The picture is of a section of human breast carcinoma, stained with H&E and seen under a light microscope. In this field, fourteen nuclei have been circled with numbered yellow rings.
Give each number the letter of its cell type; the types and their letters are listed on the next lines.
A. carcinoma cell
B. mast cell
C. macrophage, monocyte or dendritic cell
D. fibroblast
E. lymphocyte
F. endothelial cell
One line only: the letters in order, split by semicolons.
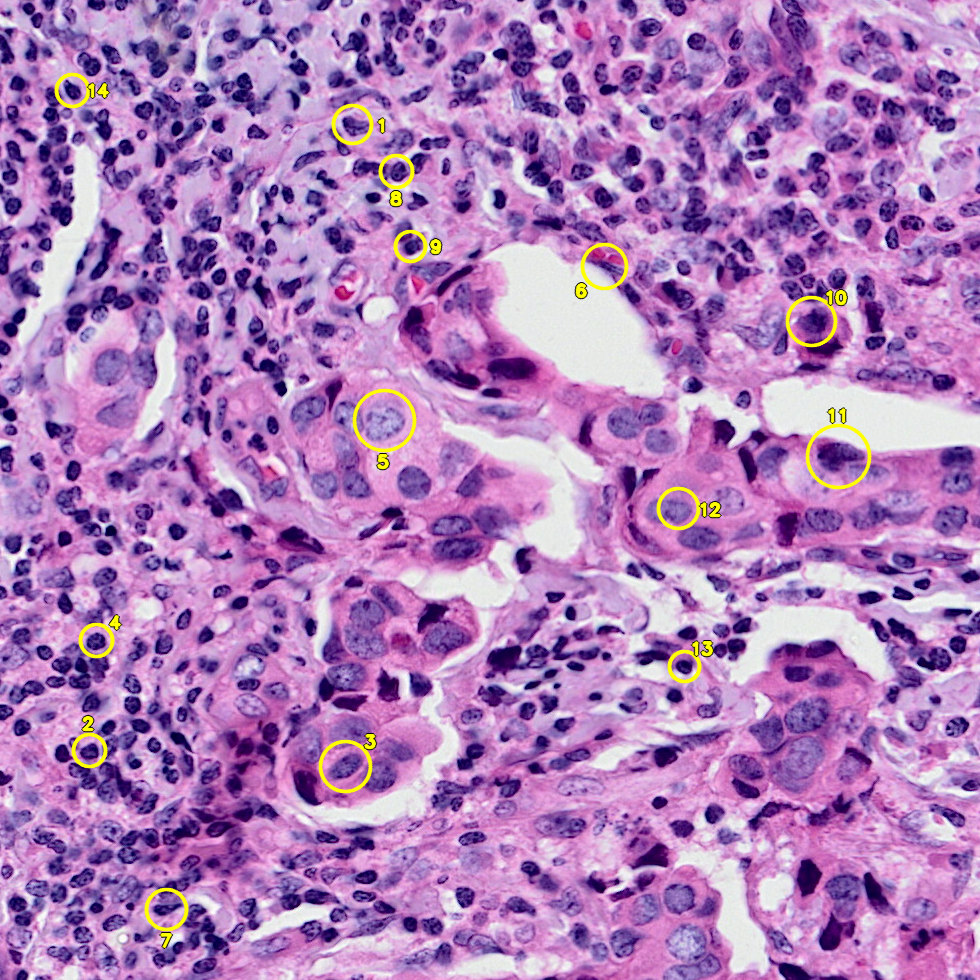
E; E; A; E; A; F; E; E; E; A; A; A; E; E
